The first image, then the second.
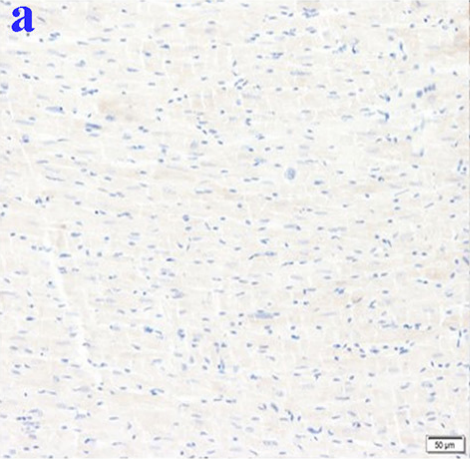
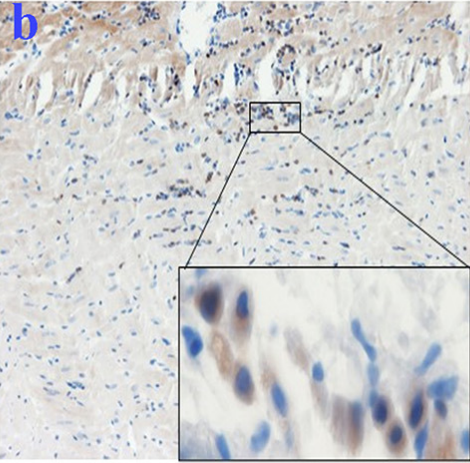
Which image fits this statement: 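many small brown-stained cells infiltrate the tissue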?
The second image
